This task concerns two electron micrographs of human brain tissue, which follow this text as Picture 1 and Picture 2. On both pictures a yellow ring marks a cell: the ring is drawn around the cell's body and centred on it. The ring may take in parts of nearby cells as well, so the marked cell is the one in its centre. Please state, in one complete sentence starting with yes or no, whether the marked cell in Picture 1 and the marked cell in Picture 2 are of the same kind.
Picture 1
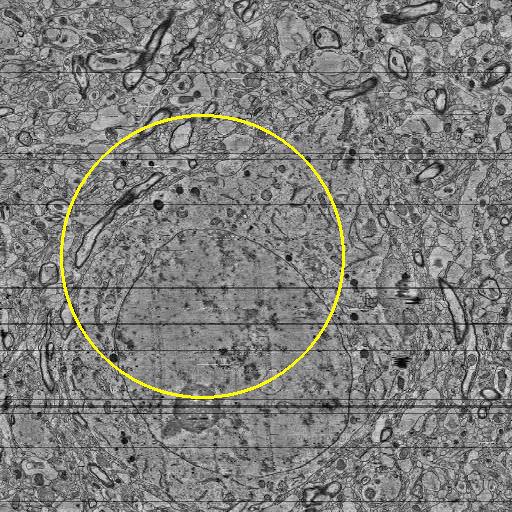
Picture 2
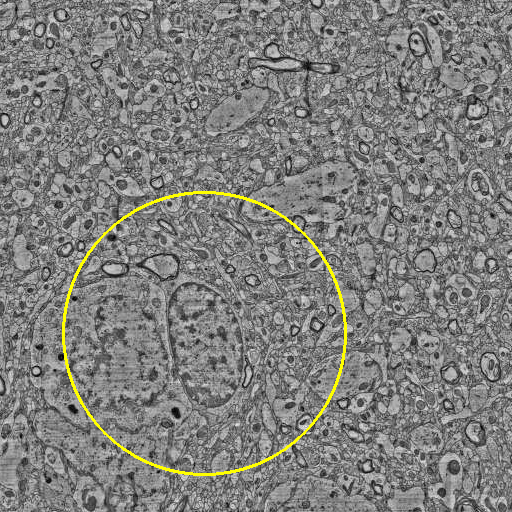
No, the marked cells in the two pictures are of two kinds.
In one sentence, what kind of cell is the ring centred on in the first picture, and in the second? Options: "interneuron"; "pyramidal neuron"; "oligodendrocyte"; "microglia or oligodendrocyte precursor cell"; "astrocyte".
The cell at the centre of the second ring is an oligodendrocyte; the first ring's cell is a pyramidal neuron.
